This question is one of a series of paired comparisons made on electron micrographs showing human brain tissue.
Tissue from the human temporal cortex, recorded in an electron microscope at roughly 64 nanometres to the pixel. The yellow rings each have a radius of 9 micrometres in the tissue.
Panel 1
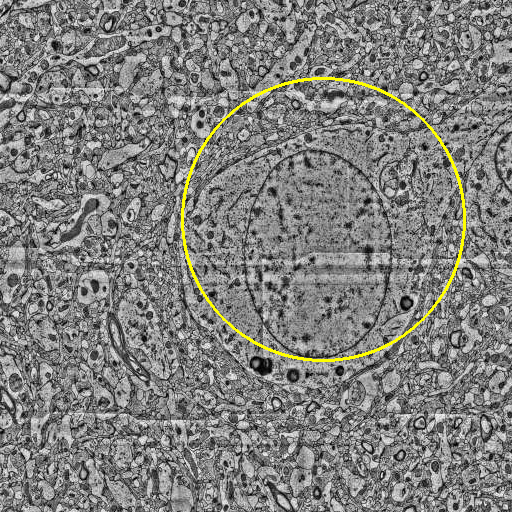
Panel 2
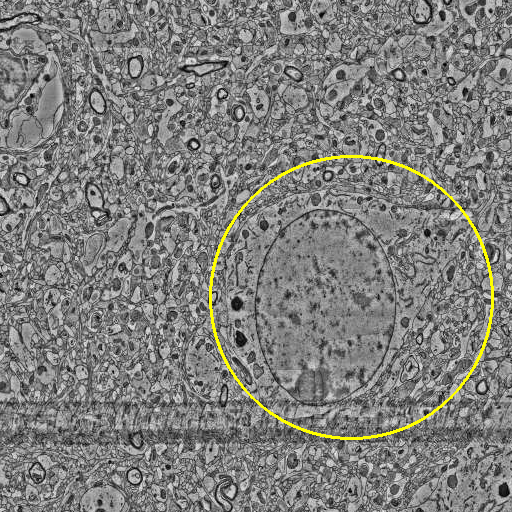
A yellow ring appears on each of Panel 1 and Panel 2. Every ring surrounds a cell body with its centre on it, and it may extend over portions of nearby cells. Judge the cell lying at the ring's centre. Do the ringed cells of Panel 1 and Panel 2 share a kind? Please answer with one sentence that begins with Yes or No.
Yes, the ring-centre cell in Panel 1 and the one in Panel 2 are of one kind.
